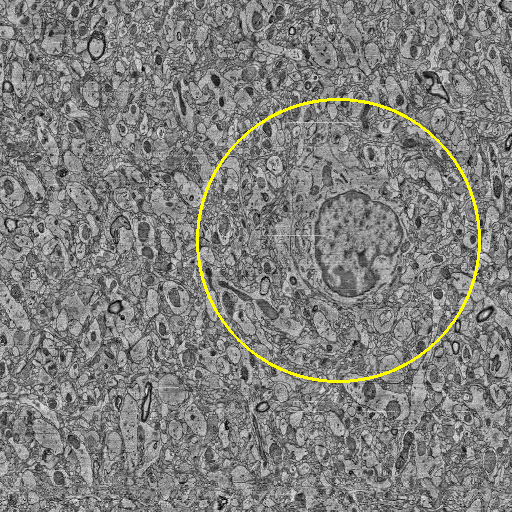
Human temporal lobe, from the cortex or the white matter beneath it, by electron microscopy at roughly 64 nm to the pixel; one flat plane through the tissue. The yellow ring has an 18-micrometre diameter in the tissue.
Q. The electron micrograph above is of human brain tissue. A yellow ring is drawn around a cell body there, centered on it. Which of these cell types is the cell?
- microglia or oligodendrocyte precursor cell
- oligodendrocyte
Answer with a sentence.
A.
The cell under the ring's center is a microglial cell or oligodendrocyte precursor cell.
